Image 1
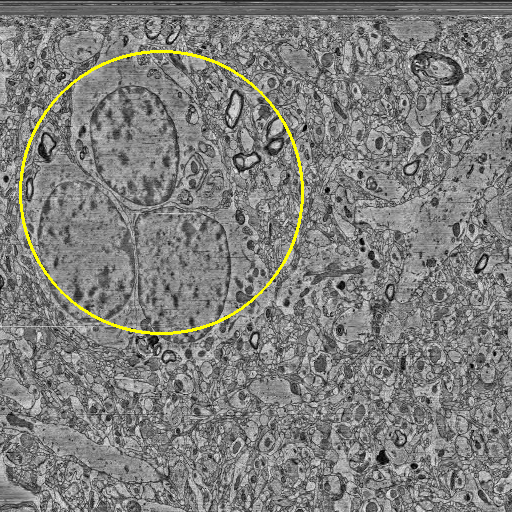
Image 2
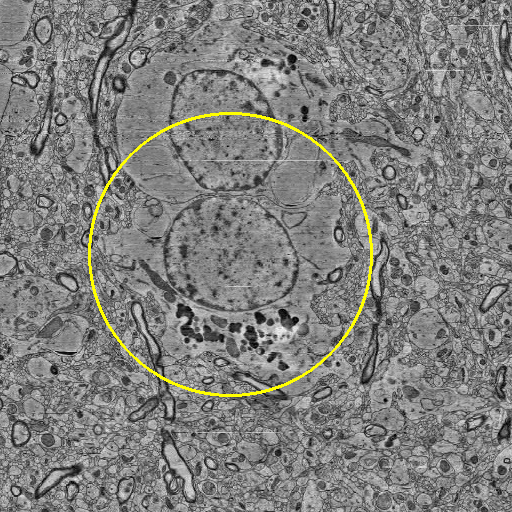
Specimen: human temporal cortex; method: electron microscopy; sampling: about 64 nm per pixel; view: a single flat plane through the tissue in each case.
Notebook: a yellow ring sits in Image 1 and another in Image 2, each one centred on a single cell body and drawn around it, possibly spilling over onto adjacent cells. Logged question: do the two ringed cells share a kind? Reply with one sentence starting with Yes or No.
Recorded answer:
Yes, both centre cells inside the rings of Image 1 and Image 2 share one kind.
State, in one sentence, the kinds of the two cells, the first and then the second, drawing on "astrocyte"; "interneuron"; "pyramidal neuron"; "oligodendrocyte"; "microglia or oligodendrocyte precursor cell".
In each of the two pictures, the ringed cell is an astrocyte.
